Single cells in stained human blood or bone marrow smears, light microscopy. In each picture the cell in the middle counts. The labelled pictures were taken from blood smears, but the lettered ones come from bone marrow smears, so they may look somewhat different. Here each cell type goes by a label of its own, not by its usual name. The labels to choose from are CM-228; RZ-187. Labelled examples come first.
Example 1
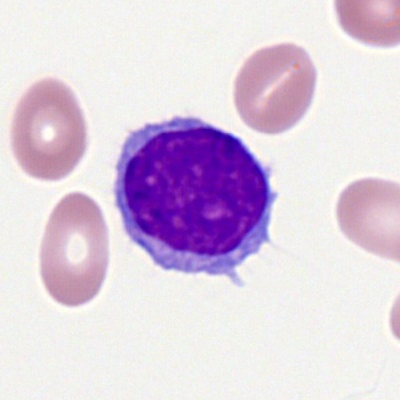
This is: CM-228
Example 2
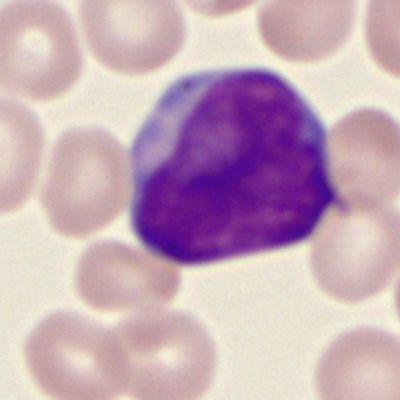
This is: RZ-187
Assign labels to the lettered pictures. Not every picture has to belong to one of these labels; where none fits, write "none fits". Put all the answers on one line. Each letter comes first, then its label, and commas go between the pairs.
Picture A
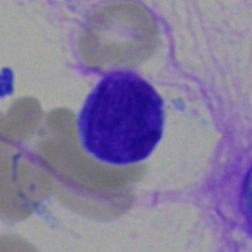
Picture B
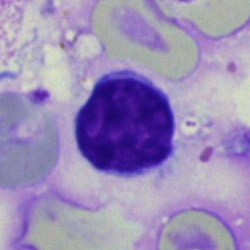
A CM-228, B CM-228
